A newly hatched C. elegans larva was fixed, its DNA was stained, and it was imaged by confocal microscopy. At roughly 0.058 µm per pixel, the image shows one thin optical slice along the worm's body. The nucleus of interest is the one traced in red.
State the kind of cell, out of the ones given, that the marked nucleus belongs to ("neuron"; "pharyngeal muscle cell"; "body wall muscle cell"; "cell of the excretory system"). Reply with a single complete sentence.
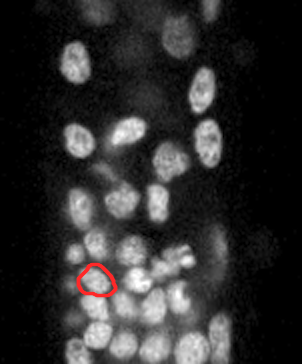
It is the nucleus of a neuron.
